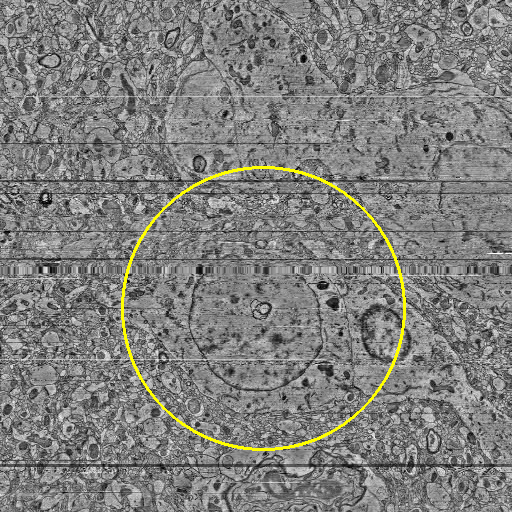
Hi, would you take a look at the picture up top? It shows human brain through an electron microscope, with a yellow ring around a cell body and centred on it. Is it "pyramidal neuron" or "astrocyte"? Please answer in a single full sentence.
The best fit for the cell in the middle of the ring is a pyramidal neuron, I reckon.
